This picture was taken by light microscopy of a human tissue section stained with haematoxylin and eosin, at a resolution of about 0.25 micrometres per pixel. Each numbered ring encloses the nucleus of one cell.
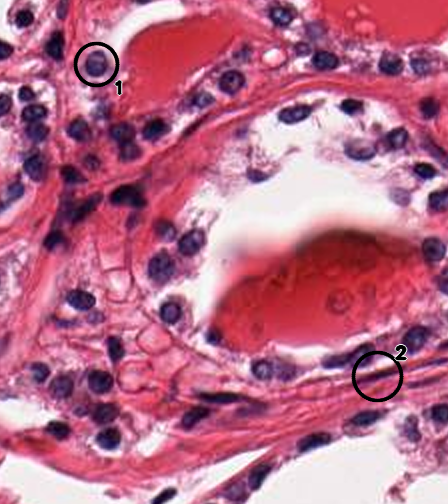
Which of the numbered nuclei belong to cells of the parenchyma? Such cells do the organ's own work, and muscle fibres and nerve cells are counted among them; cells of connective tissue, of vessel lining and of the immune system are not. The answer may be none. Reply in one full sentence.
Nucleus 1 is the only one of the numbered nuclei belonging to a parenchymal cell.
